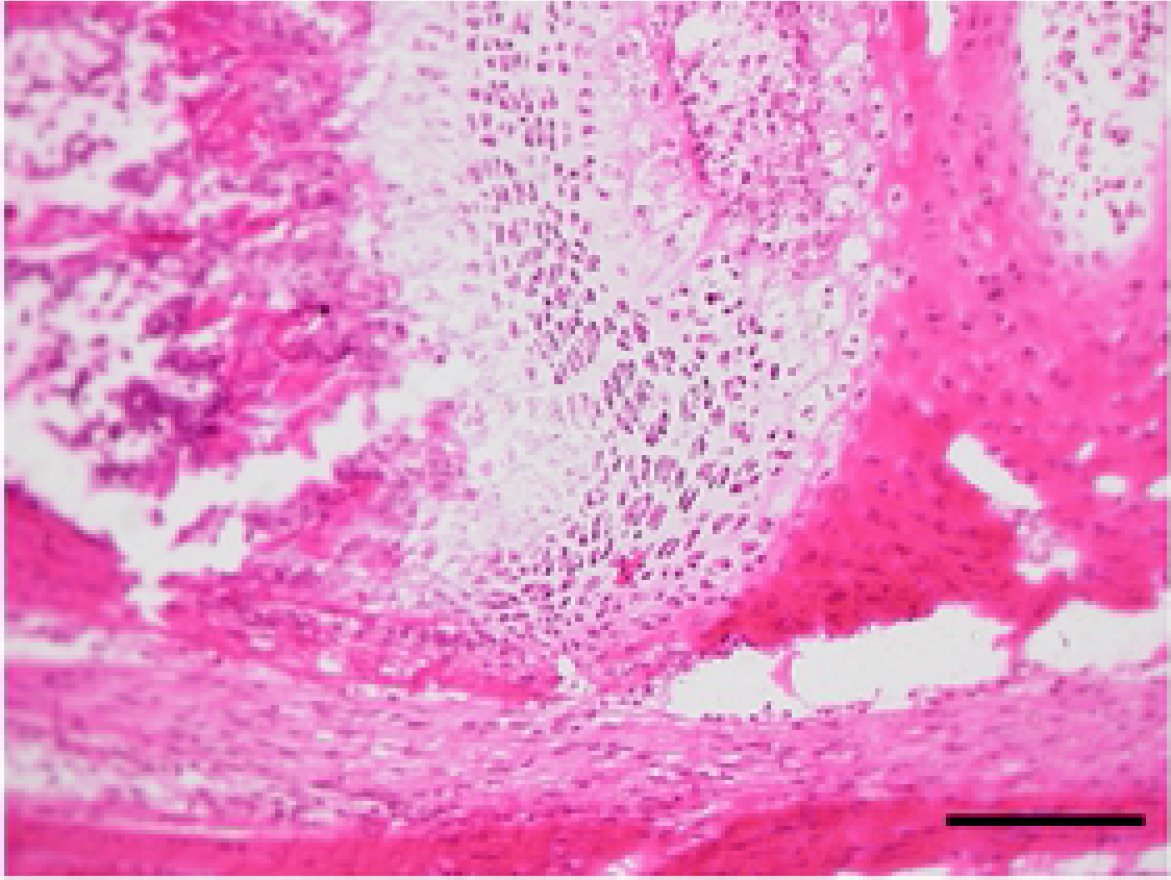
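The central pale area holds many small rounded cells with dark purple nuclei, lying in lacunae and arranged in loose rows and columns within a lightly stained matrix. To the right and lower left, dense bright pink bone matrix forms thick bands and trabeculae. On the left, irregular pink and purple fragments with scattered nuclei fill spaces between the bone. Along the bottom, a band of elongated, closely packed cells with spindle-shaped nuclei runs horizontally. White spaces are clefts in the section.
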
